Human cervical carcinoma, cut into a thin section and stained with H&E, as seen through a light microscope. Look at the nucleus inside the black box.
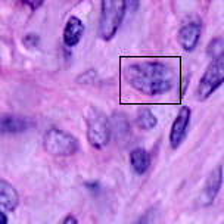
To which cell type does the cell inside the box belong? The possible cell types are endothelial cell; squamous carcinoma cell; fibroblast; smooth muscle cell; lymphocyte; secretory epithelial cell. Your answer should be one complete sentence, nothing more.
Just put down that the cell inside the box is a smooth muscle cell.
